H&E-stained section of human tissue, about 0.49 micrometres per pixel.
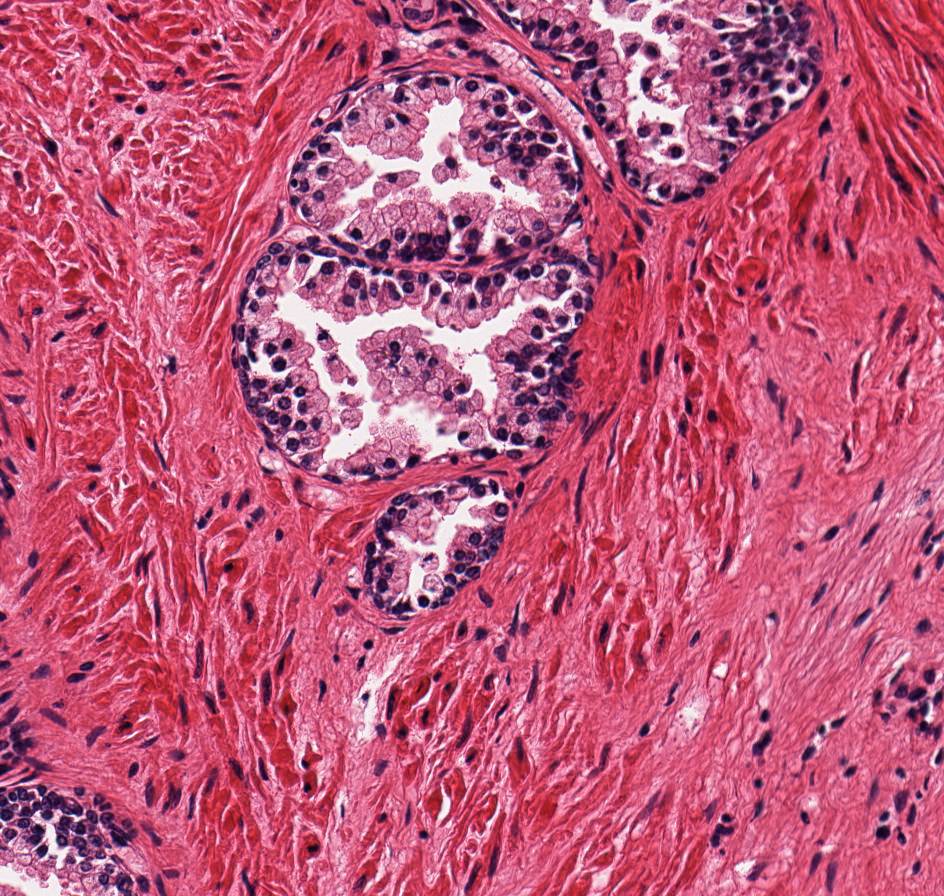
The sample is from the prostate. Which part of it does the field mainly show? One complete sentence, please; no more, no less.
The part of the tissue seen in this section is fibromuscular stroma.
